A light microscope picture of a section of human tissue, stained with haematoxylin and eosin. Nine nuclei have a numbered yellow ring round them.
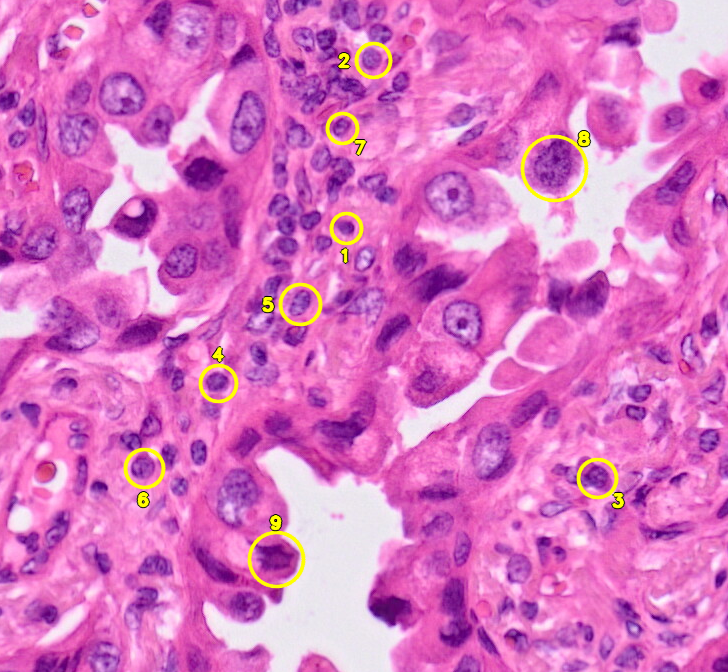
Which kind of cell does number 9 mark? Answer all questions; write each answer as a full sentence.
Identified as a carcinoma cell is the cell bearing the number 9.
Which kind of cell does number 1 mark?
The cell with the number 1 is a lymphocyte.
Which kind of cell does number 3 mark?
As for number 3, that cell is a plasma cell.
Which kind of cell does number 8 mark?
The cell identified by number 8 is a carcinoma cell.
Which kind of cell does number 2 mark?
The cell identified by the number 2 is a lymphocyte.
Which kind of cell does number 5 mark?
The cell given label 5 is a mast cell.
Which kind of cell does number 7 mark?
In the marked set, the cell given number 7 is a lymphocyte.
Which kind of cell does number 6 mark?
At number 6, the marked cell is a lymphocyte.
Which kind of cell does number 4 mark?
Identified by the number 4, the cell is a lymphocyte.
